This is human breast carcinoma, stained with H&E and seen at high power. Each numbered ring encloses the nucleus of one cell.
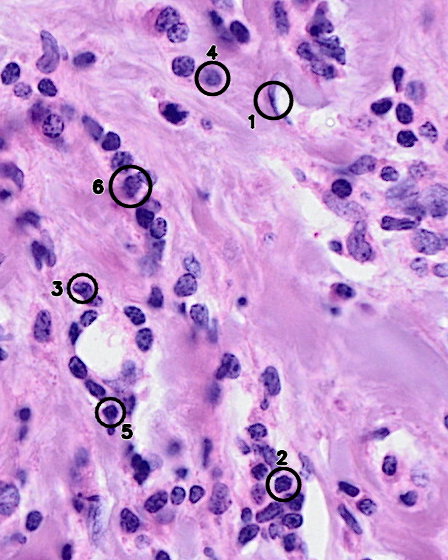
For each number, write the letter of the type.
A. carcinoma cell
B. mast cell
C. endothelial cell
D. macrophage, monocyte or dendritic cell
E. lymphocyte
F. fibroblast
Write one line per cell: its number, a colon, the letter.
1: F
2: E
3: E
4: B
5: E
6: E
